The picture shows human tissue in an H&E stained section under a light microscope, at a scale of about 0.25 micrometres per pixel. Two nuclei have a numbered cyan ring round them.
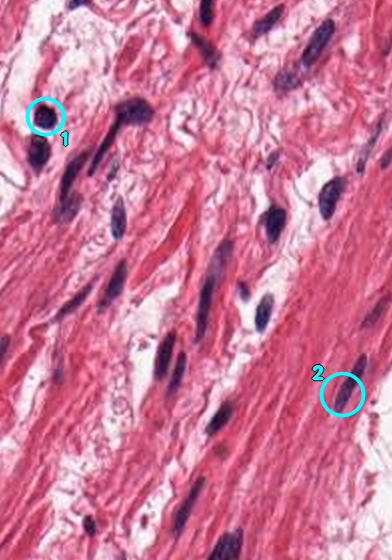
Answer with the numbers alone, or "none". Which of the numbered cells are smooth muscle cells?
2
